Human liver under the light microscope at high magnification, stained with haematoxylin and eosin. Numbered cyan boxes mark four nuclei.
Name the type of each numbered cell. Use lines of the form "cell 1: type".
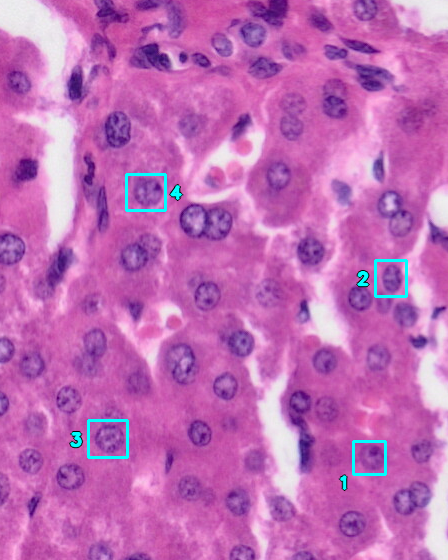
cell 1: hepatocyte
cell 2: cholangiocyte
cell 3: hepatocyte
cell 4: hepatocyte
